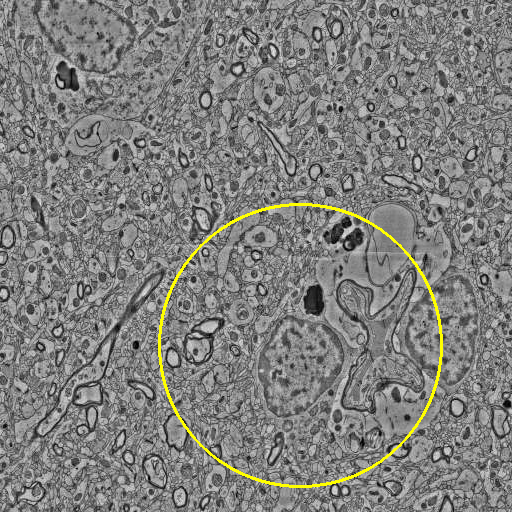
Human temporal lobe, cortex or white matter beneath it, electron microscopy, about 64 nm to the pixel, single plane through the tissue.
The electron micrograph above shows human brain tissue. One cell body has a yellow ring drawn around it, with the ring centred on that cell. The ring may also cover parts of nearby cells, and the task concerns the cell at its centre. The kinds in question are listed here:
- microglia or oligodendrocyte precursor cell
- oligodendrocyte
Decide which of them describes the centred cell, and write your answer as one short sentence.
The centred cell is an oligodendrocyte.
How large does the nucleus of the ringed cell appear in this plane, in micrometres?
In this plane the nucleus measures roughly 7 by 5 micrometres.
